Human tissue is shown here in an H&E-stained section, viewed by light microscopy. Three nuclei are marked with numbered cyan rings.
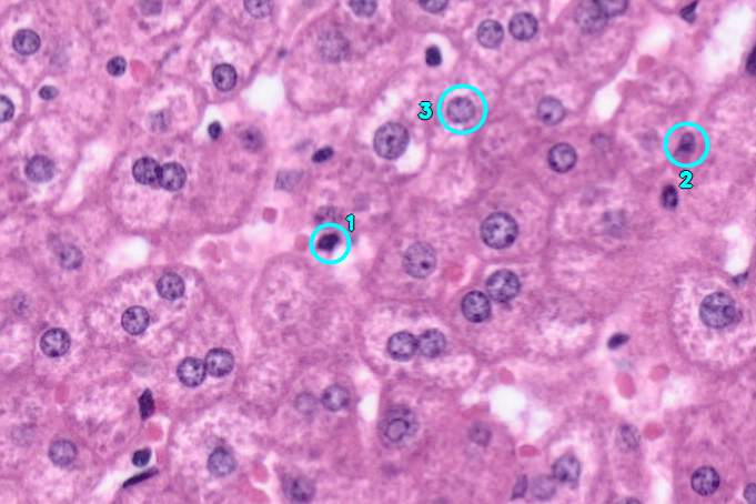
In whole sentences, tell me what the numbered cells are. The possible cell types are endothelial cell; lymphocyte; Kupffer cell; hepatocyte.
Cell 1 is a lymphocyte, cell 2 is an endothelial cell and cell 3 is a hepatocyte.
